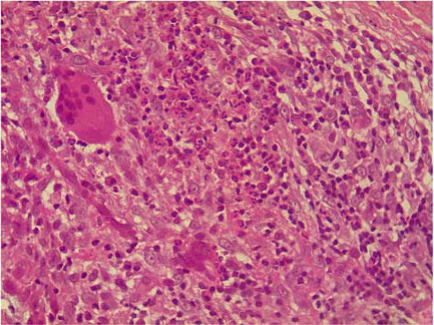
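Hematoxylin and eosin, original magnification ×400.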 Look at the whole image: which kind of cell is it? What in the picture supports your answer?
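Multinucleated giant cells. At upper left, a large cell with abundant pink cytoplasm contains several nuclei. It is much larger than the surrounding small round cells.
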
